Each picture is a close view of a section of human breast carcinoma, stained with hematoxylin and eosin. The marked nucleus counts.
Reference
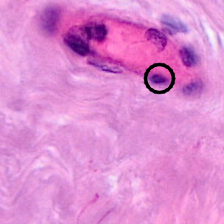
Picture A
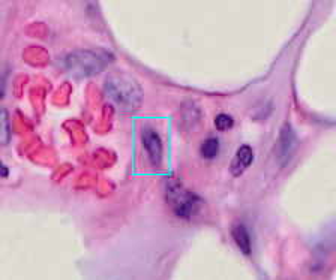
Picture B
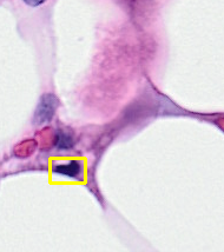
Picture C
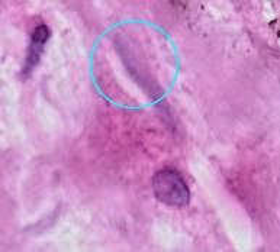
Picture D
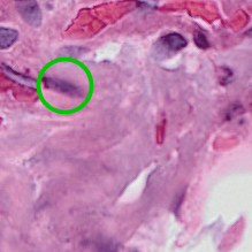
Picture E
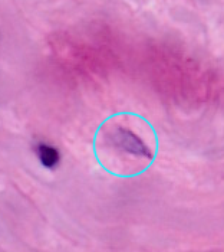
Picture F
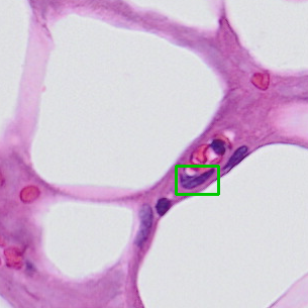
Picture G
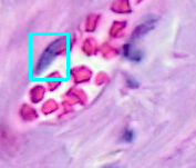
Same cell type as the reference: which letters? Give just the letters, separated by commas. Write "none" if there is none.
A, B, D, F, G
